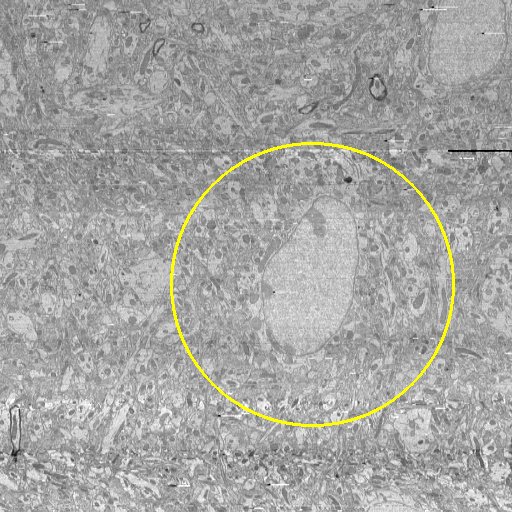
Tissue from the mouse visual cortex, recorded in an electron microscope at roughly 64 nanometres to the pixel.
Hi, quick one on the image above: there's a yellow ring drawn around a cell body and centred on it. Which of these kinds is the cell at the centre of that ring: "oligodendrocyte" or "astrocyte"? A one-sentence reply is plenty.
The cell at the centre of the ring is an astrocyte.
